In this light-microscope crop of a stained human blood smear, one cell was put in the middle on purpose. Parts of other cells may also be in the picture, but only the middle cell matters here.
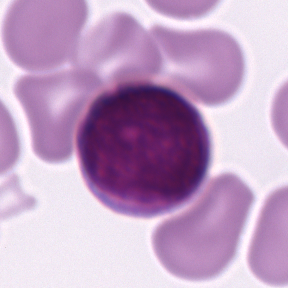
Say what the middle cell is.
myeloblast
